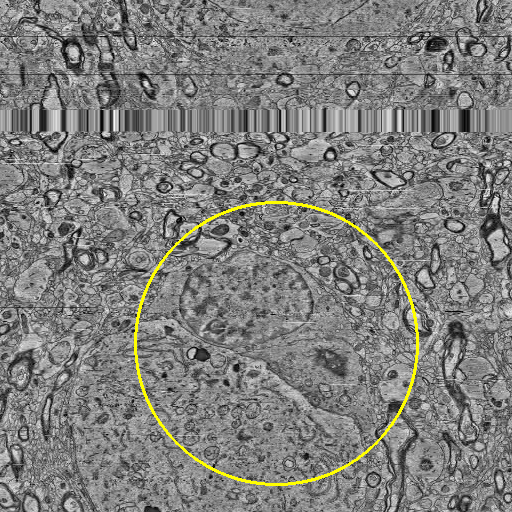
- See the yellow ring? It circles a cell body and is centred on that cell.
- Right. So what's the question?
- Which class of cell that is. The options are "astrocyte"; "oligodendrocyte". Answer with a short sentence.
The centre of the ring holds an oligodendrocyte.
